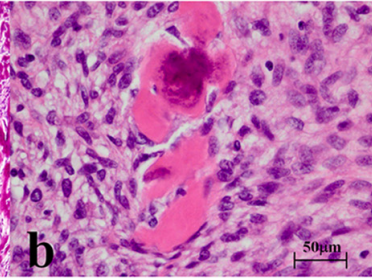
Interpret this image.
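This is a tumor of crowded spindle and oval cells with large, purple, variably shaped nuclei and pale pink cytoplasm, mixed with osseous components. Among the cells lie islands of dense, glassy pink bone-like matrix, one with a dark purple mineralized center, and the tumor cells press right up against these islands, the picture of an osteosarcoma.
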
